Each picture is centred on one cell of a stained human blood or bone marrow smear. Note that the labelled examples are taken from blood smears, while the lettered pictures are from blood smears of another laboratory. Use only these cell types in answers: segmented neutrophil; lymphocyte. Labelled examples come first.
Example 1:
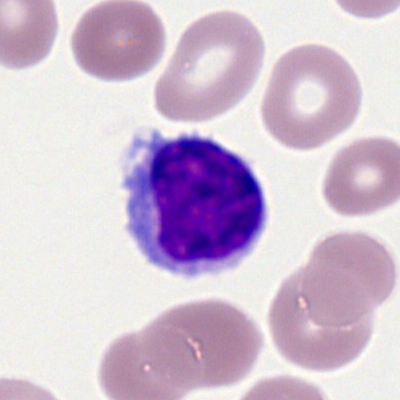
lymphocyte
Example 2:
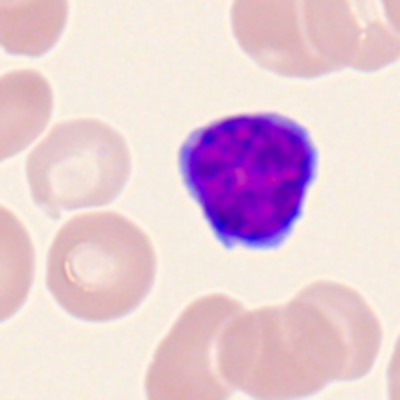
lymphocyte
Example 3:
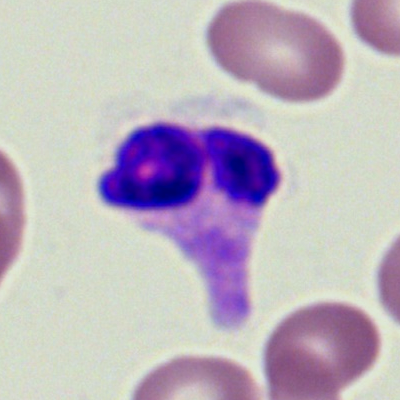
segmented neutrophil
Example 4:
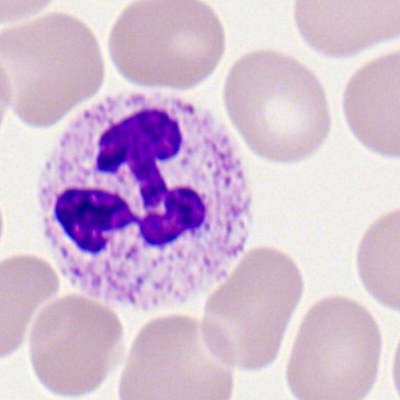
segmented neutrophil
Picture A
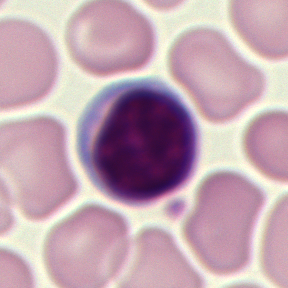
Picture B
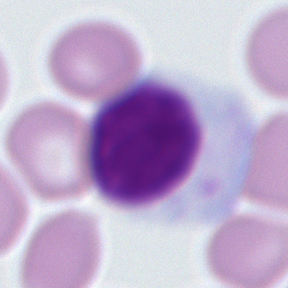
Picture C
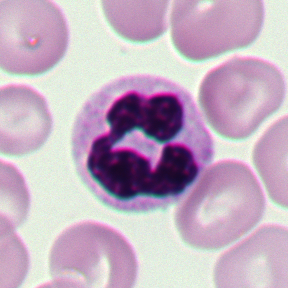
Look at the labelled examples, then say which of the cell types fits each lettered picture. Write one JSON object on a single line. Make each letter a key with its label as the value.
{"A": "lymphocyte", "B": "lymphocyte", "C": "segmented neutrophil"}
